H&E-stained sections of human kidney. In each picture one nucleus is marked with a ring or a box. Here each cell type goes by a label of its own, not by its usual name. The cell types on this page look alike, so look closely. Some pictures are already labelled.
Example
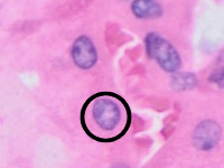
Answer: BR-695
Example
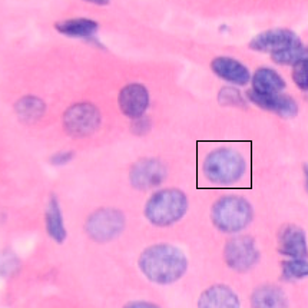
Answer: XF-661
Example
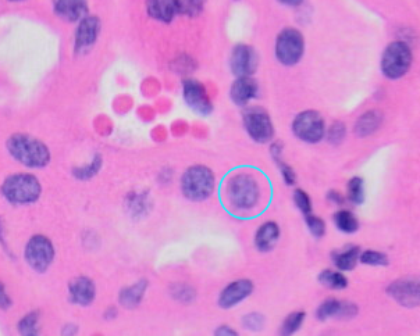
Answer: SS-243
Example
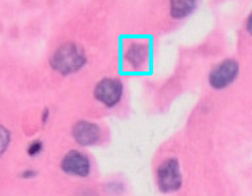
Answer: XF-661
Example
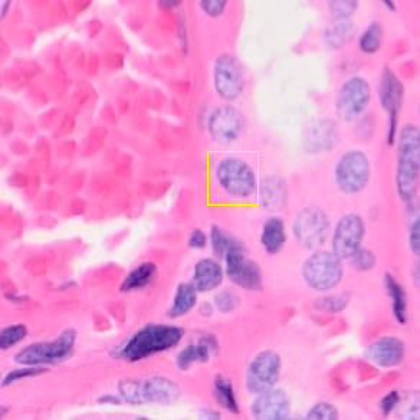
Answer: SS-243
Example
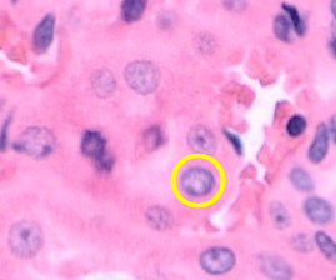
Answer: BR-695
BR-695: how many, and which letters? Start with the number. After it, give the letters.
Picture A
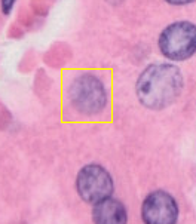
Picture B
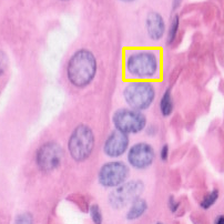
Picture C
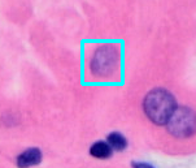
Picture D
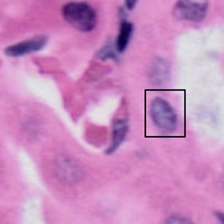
2, namely A, C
